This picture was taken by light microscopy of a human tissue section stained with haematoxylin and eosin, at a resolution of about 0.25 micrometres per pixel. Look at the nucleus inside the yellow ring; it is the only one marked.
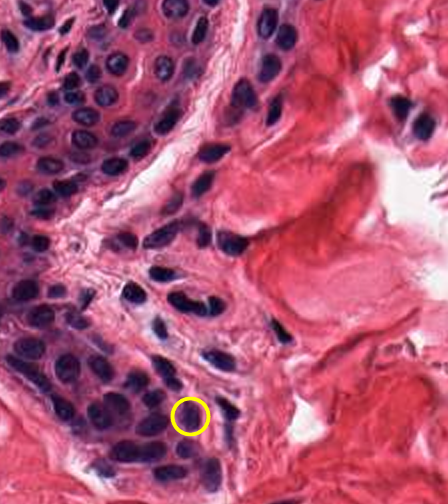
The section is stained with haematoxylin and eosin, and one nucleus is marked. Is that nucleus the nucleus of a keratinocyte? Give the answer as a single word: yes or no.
yes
